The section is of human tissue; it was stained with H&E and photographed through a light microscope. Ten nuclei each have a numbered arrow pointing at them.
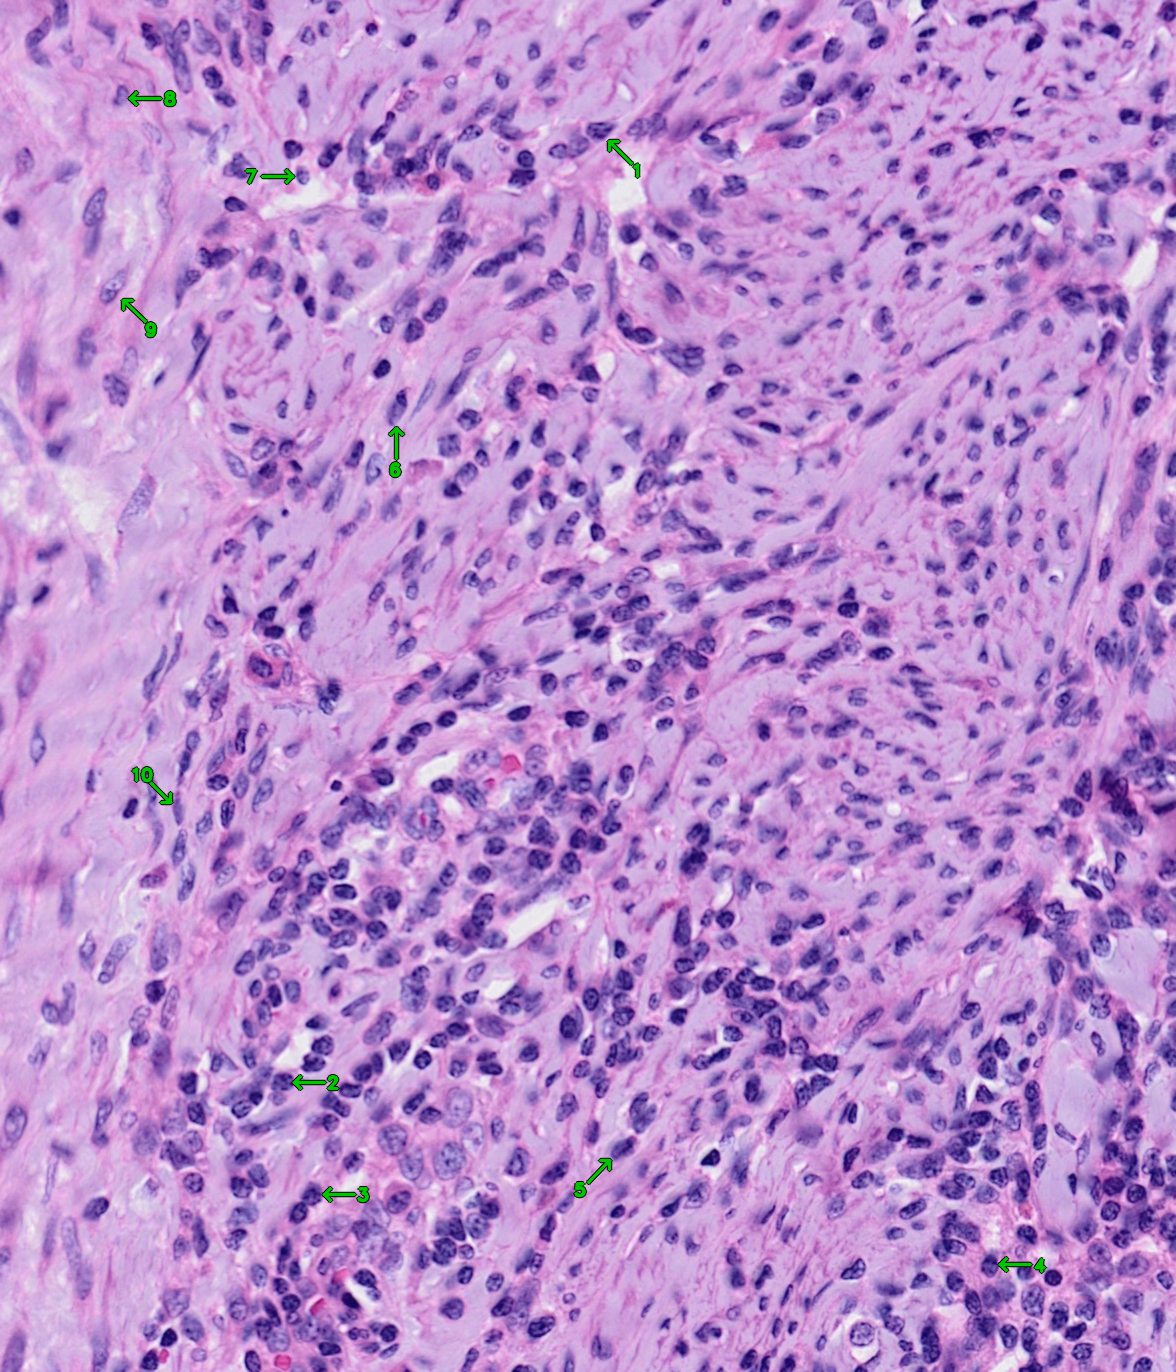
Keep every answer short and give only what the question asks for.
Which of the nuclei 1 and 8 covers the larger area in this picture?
1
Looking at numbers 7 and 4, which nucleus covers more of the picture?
4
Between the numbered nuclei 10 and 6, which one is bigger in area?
6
